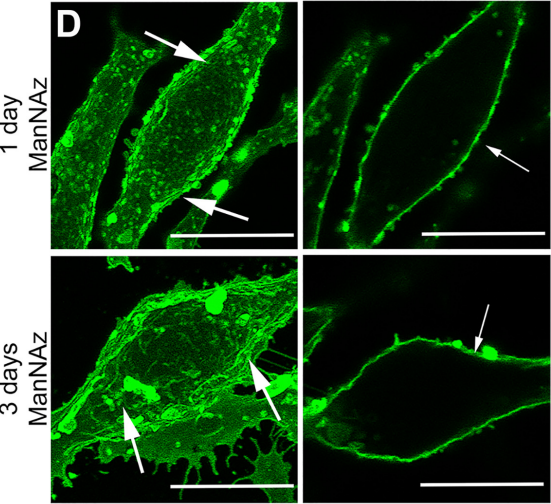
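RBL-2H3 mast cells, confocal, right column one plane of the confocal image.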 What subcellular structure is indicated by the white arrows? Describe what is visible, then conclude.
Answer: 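In the single-plane images the green signal forms a thin continuous line around the cell outline. The arrows point to the edge of the cells. The cell interior in the single plane is largely dark.
Hence: plasma membrane.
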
